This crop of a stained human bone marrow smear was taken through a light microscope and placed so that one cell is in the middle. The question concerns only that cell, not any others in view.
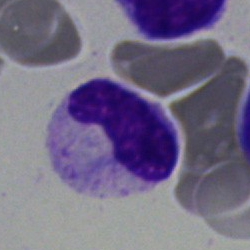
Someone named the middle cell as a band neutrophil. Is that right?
yes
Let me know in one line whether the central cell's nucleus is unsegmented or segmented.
What stands out is a nucleus forming one compact round, oval or kidney-shaped mass.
